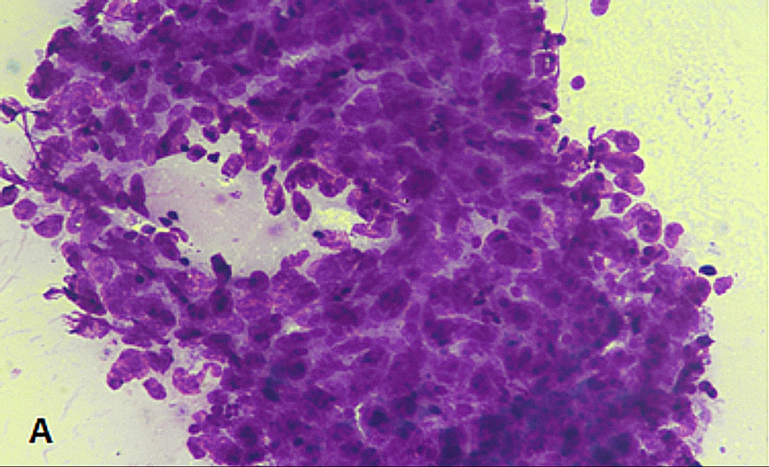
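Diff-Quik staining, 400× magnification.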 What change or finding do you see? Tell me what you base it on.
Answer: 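Hyperchromatic nuclei. Nuclei are stained very dark purple. Nuclei are large and crowded, overlapping within the cluster.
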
